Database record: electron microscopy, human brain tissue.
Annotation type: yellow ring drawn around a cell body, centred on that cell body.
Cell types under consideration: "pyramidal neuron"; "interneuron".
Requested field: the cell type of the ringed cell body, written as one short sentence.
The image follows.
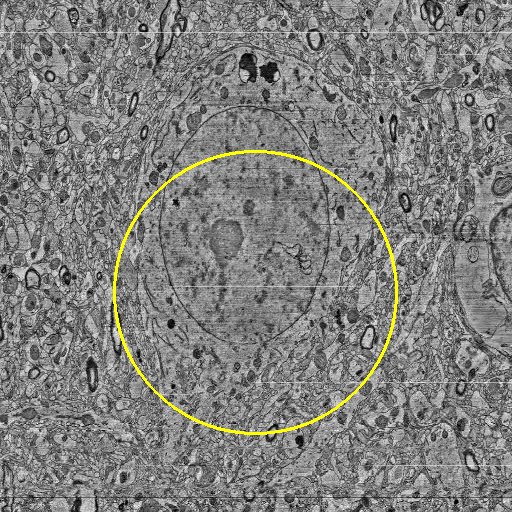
The ringed cell body represents a pyramidal neuron.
